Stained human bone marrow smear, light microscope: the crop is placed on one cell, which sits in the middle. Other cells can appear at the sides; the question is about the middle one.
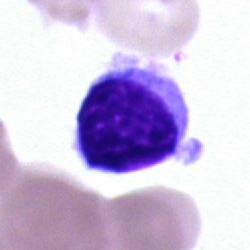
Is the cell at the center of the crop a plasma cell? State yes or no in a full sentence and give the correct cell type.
No, the central cell isn't a plasma cell, but a lymphocyte.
